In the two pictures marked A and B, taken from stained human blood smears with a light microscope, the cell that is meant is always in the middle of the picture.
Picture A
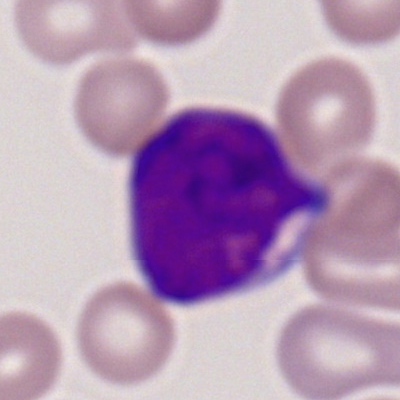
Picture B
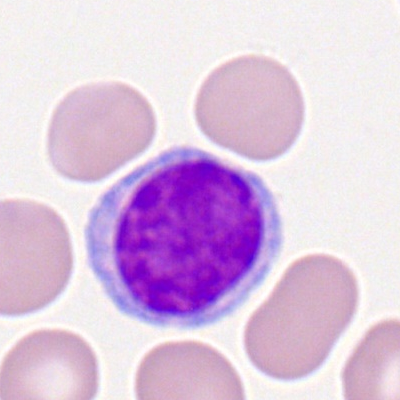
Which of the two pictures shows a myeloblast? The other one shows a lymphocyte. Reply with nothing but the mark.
A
